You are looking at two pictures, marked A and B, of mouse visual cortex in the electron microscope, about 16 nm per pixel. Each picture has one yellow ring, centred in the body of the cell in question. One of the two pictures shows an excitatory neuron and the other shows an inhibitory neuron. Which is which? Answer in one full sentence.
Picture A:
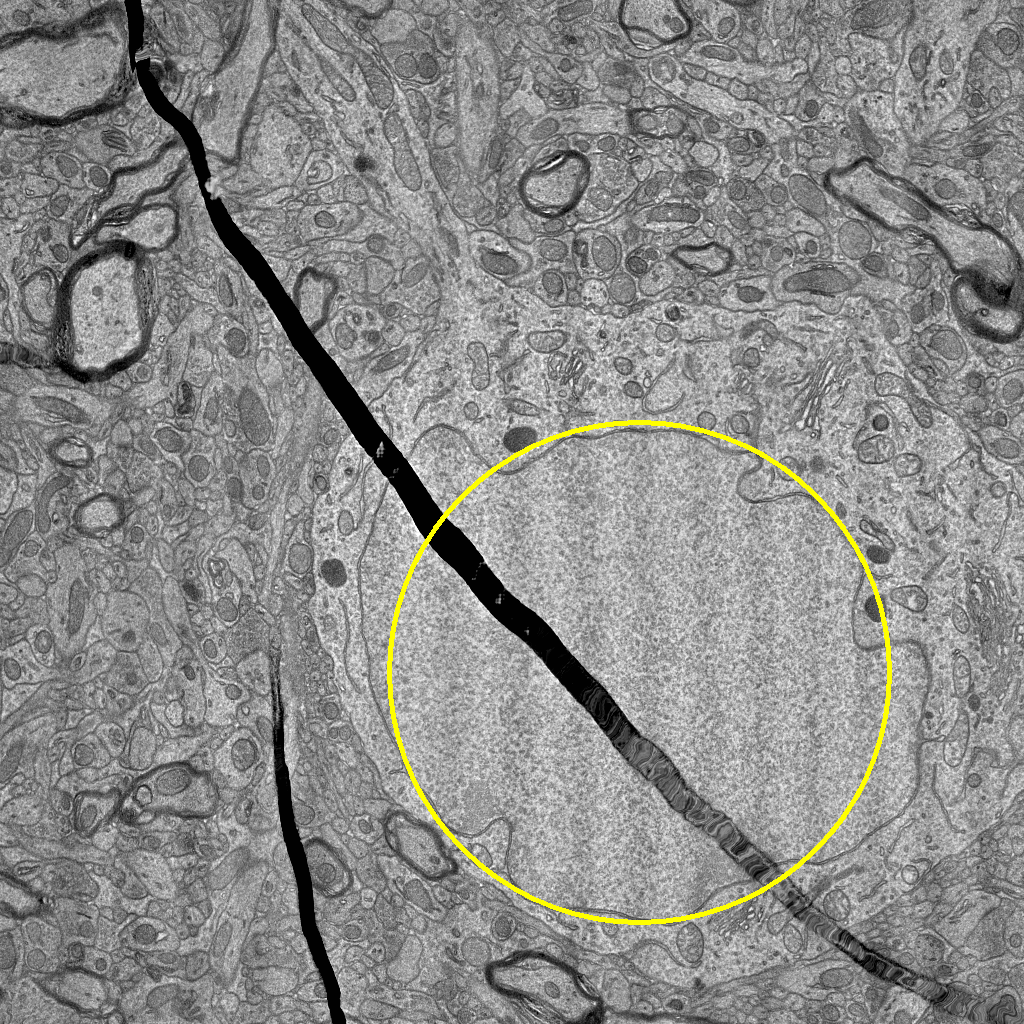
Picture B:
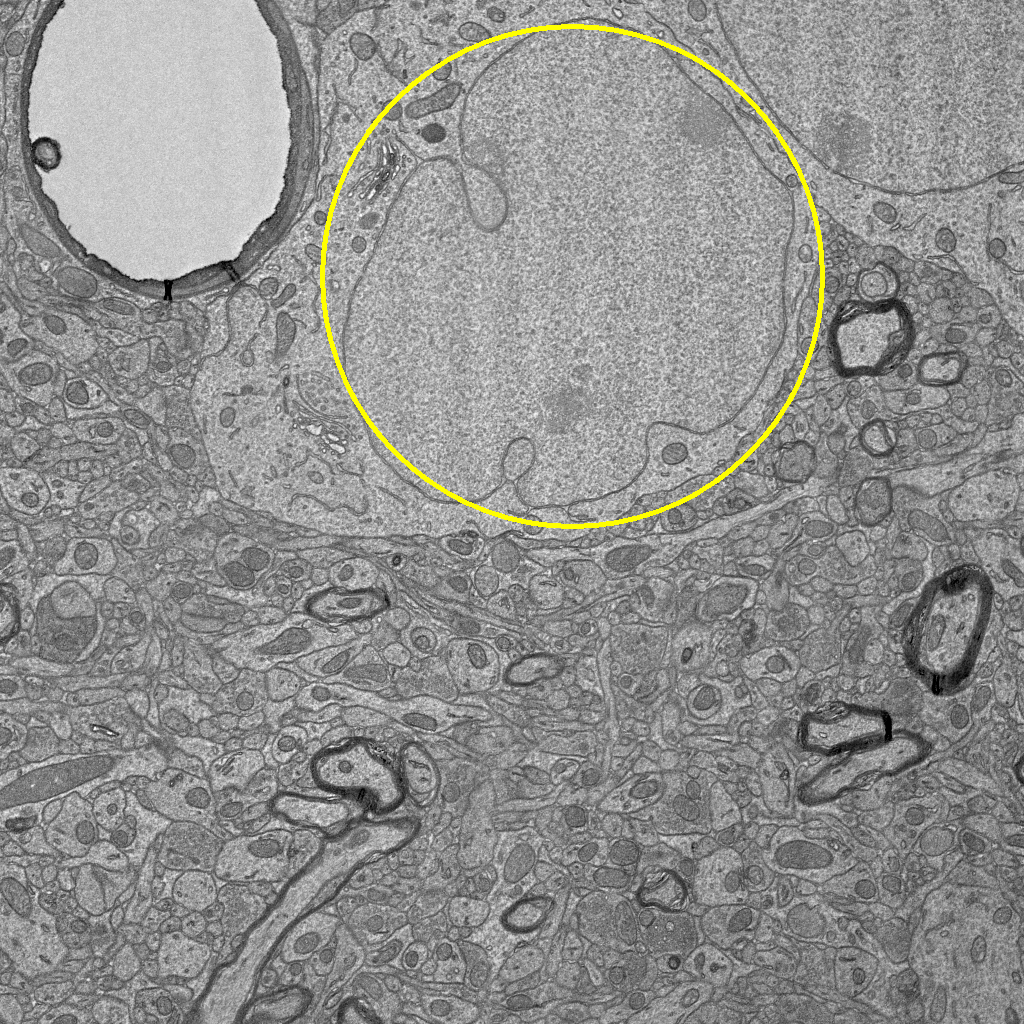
It is picture A that shows an inhibitory neuron, and picture B that shows an excitatory neuron.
